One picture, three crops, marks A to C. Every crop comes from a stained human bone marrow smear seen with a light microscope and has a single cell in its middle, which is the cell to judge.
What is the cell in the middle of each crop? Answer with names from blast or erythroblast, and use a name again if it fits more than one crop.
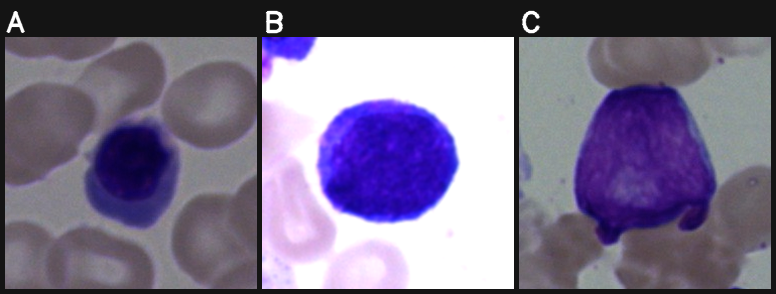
A: erythroblast
B: blast
C: blast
